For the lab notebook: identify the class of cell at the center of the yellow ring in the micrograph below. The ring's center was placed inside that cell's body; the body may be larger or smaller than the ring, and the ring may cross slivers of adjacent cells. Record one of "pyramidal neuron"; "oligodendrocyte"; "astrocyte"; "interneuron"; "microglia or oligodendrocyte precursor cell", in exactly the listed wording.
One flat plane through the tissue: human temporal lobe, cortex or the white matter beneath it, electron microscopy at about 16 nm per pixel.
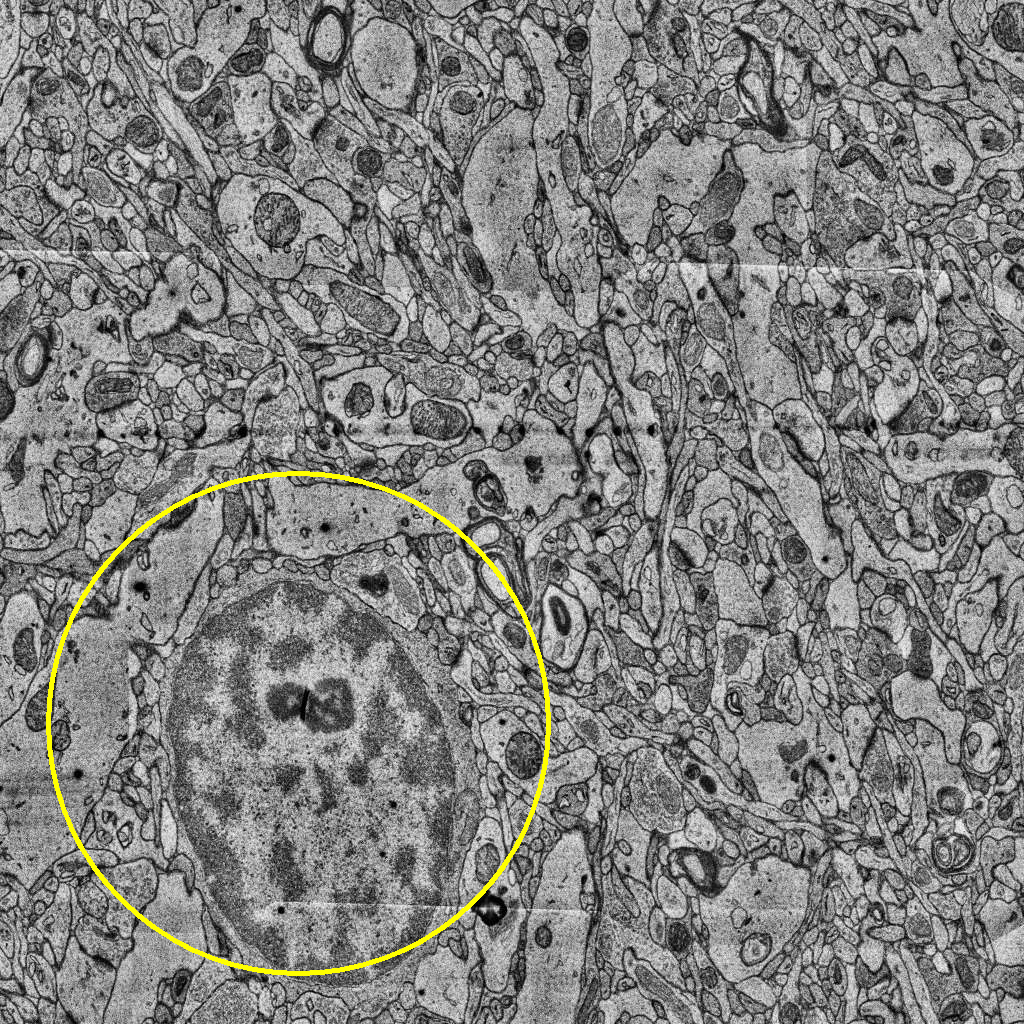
oligodendrocyte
